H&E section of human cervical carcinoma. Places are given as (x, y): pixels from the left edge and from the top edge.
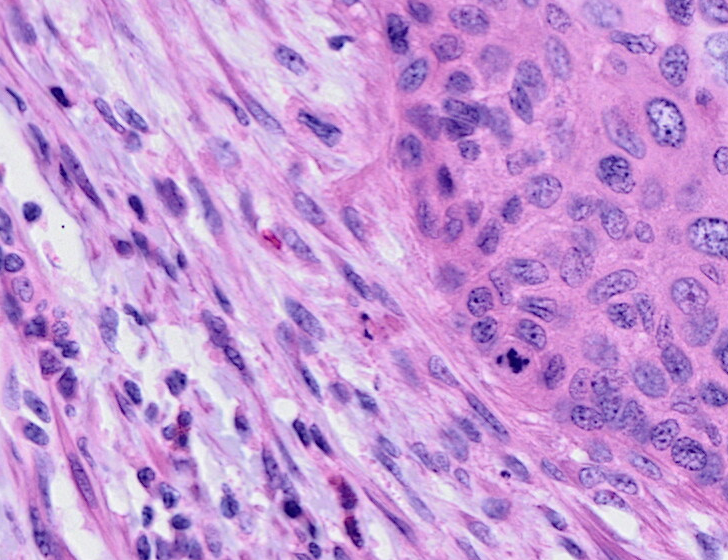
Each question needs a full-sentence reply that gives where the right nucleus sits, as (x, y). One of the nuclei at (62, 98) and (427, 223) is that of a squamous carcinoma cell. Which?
Identified as belonging to a squamous carcinoma cell is the nucleus at (427, 223).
